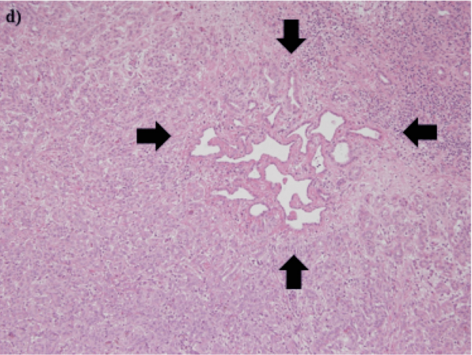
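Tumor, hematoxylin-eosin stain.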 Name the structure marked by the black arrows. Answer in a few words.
Von Meyenbrug complex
